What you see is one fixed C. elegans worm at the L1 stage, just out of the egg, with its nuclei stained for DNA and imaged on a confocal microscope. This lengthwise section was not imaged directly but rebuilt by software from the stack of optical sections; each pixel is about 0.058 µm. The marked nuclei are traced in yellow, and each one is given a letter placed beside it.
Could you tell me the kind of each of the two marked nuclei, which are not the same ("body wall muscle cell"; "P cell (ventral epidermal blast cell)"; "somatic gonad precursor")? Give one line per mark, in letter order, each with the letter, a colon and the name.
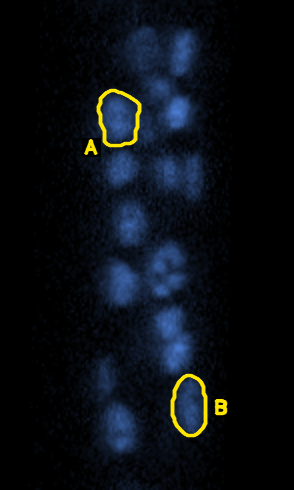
A: body wall muscle cell
B: P cell (ventral epidermal blast cell)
